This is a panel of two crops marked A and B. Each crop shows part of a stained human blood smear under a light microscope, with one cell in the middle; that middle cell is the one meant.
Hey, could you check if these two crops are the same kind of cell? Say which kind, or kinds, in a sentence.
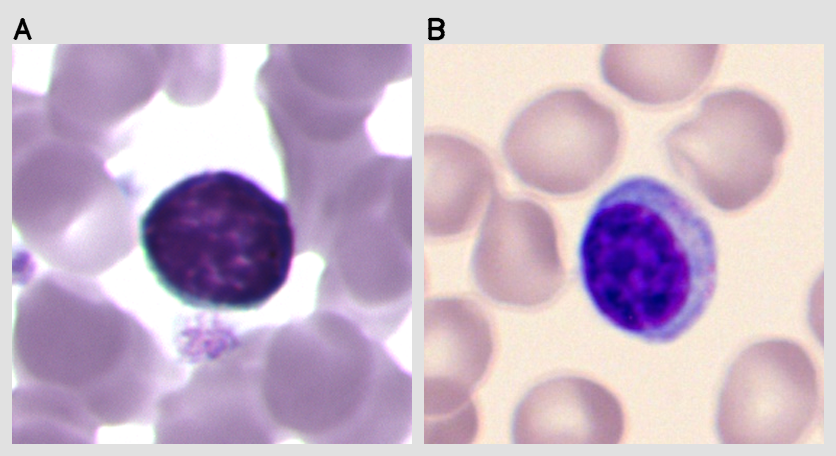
Yes, both the first crop and the second crop show lymphocytes.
